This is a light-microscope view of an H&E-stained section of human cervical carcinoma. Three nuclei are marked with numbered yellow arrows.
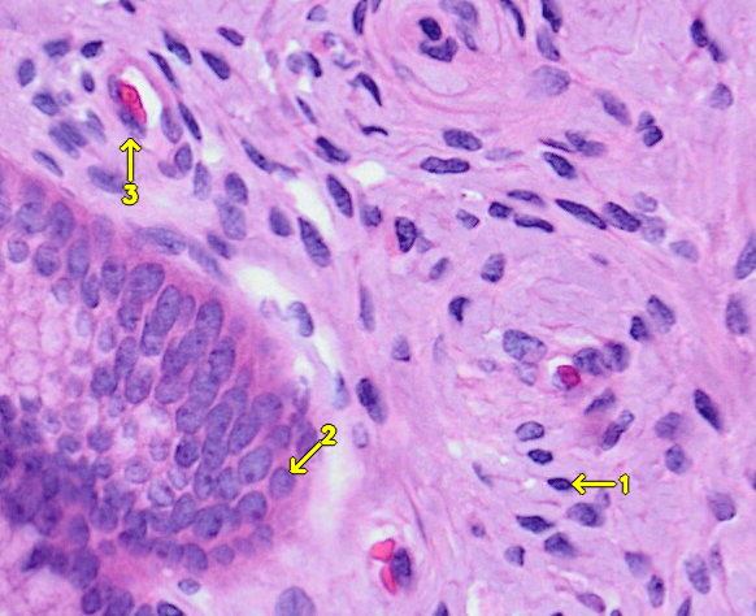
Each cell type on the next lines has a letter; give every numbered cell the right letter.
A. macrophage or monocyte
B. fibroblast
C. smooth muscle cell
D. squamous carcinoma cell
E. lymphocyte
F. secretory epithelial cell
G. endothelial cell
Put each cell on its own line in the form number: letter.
1: B
2: F
3: G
